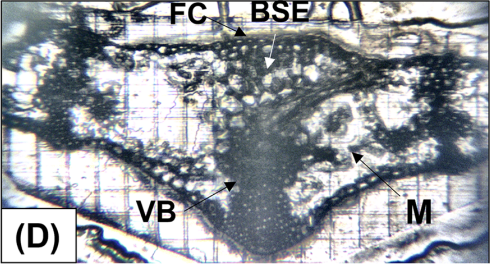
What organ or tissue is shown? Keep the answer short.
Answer: leaf midrib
